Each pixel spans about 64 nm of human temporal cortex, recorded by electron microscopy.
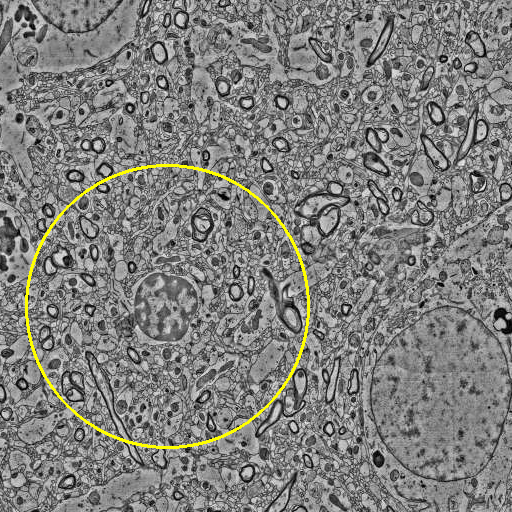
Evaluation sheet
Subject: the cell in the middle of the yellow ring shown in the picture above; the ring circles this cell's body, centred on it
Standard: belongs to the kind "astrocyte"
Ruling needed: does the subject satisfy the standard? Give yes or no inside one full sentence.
No, the cell in the middle of the ring in the picture above belongs to some other kind.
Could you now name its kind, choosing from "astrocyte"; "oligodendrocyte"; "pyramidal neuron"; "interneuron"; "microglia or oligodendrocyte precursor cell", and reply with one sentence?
The cell ringed in the picture is a microglial cell or oligodendrocyte precursor cell.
